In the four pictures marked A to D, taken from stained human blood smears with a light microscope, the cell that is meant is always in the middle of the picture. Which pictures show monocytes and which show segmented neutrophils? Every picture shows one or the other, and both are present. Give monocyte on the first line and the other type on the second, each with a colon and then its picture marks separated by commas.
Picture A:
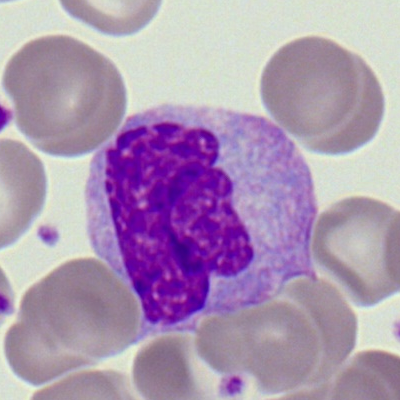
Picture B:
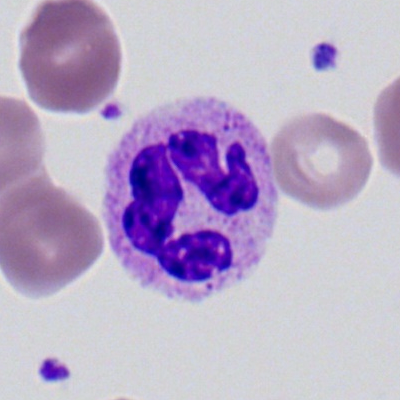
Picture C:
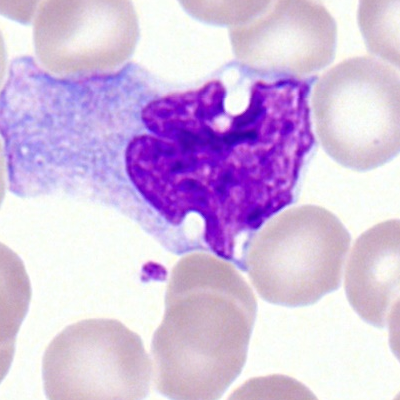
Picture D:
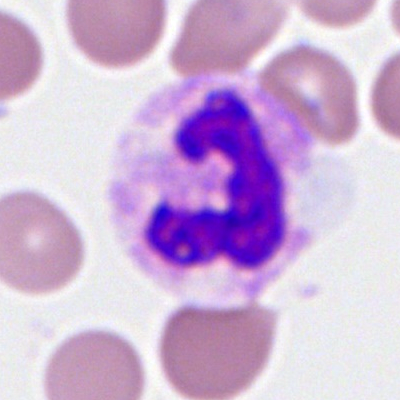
monocyte: A, C
segmented neutrophil: B, D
